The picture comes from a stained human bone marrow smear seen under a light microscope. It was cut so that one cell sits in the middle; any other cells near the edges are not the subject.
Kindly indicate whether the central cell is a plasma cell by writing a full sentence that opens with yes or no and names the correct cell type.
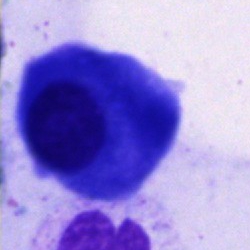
Yes, as regards the cell in the middle, it is a plasma cell.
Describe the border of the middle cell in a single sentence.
The cell is bounded by a ragged or projection-bearing margin rather than a smooth one.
